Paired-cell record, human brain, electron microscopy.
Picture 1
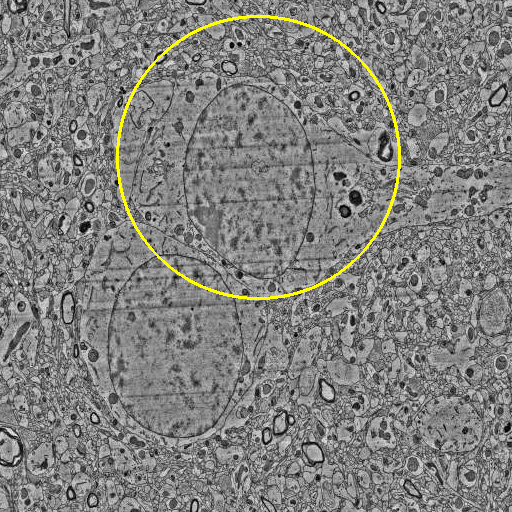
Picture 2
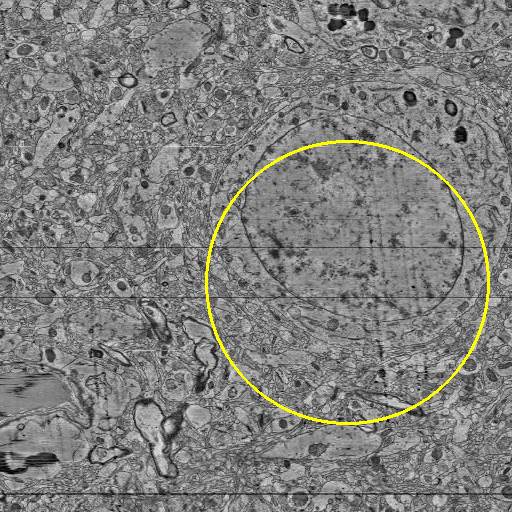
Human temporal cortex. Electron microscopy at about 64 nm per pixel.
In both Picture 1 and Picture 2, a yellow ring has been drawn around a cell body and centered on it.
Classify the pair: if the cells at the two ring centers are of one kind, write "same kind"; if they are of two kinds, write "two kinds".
same kind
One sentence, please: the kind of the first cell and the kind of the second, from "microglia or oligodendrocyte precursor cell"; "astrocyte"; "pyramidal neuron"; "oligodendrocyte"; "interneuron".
Both rings mark a pyramidal neuron, one in each picture.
